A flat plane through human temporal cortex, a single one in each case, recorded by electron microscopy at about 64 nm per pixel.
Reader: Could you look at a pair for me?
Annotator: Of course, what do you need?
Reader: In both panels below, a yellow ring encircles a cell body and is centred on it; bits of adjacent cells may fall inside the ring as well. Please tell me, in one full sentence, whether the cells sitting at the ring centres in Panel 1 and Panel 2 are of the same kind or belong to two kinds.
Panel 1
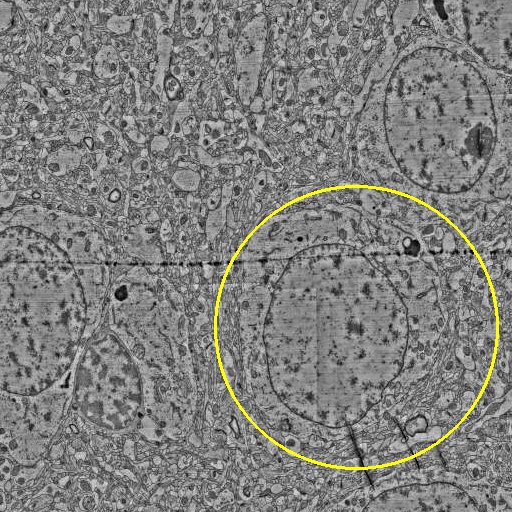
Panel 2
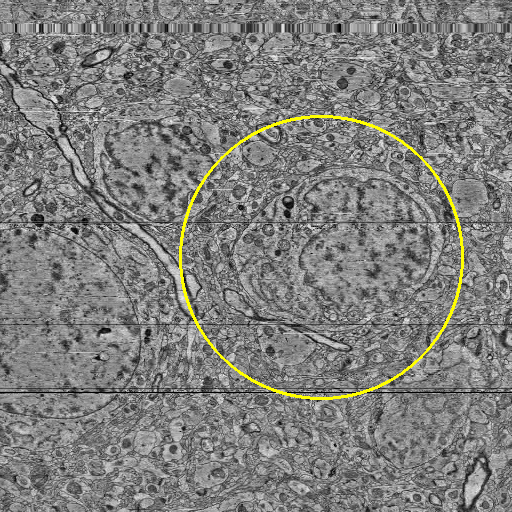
The cell at the ring's centre in Panel 1 and the one in Panel 2 belong to two kinds.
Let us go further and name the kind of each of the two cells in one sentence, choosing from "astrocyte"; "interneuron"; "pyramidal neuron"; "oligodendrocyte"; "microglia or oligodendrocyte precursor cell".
The ring of the first picture is on a pyramidal neuron, the ring of the second on an interneuron.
